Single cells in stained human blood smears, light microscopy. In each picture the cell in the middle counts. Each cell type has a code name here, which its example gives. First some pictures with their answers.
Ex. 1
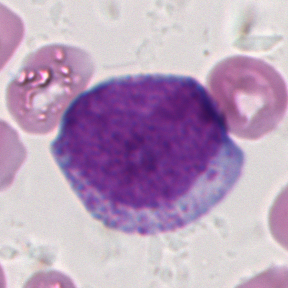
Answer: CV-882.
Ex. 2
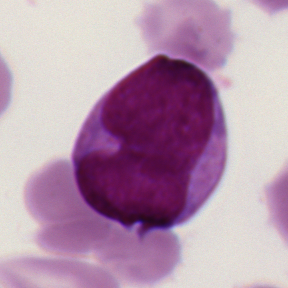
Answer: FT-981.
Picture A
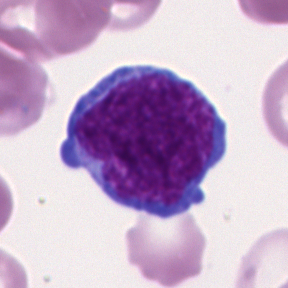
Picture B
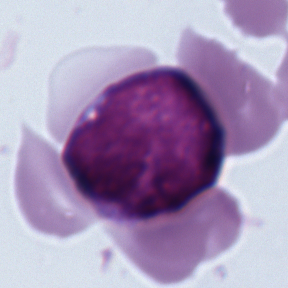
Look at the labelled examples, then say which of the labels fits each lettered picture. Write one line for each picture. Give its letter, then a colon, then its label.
A: FT-981.
B: FT-981.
